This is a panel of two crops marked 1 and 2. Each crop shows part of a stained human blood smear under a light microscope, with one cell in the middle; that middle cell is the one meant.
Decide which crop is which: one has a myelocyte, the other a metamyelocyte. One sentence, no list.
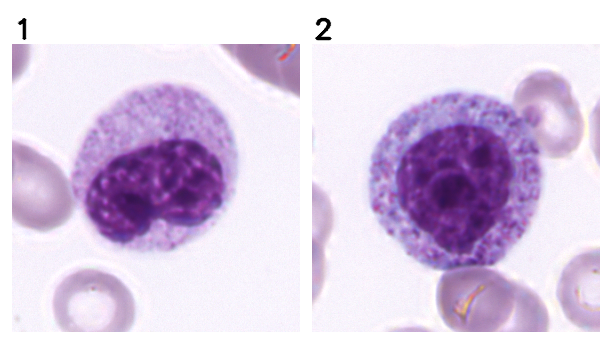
Here crop 1 is a metamyelocyte, and crop 2 is a myelocyte.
